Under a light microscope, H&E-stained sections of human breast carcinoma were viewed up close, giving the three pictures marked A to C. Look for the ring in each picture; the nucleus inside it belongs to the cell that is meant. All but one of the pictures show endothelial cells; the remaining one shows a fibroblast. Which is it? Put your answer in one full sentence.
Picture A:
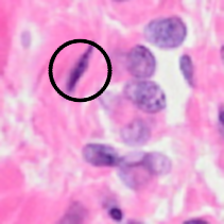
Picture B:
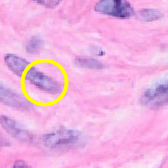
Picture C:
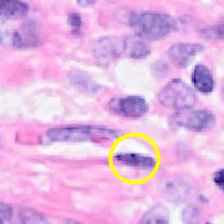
Picture A shows the fibroblast.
